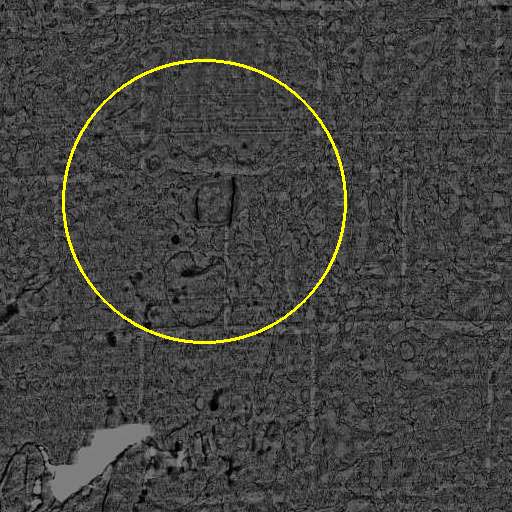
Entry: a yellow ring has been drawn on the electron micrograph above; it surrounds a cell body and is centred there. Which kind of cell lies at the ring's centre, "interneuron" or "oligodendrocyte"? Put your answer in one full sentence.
The cell sitting at the ring's centre is an oligodendrocyte in the micrograph above.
